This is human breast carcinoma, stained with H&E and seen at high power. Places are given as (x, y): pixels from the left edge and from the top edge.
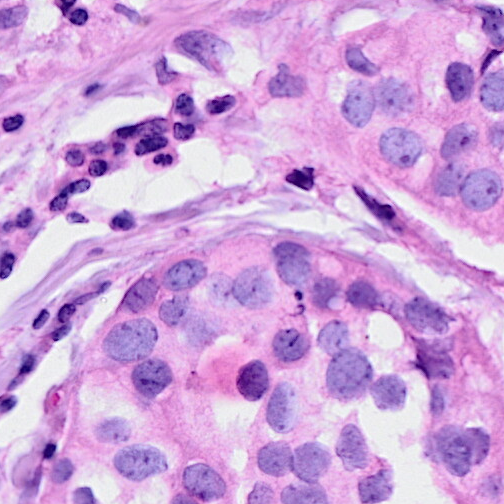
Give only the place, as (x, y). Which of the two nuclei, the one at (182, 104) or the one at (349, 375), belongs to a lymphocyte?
(182, 104)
